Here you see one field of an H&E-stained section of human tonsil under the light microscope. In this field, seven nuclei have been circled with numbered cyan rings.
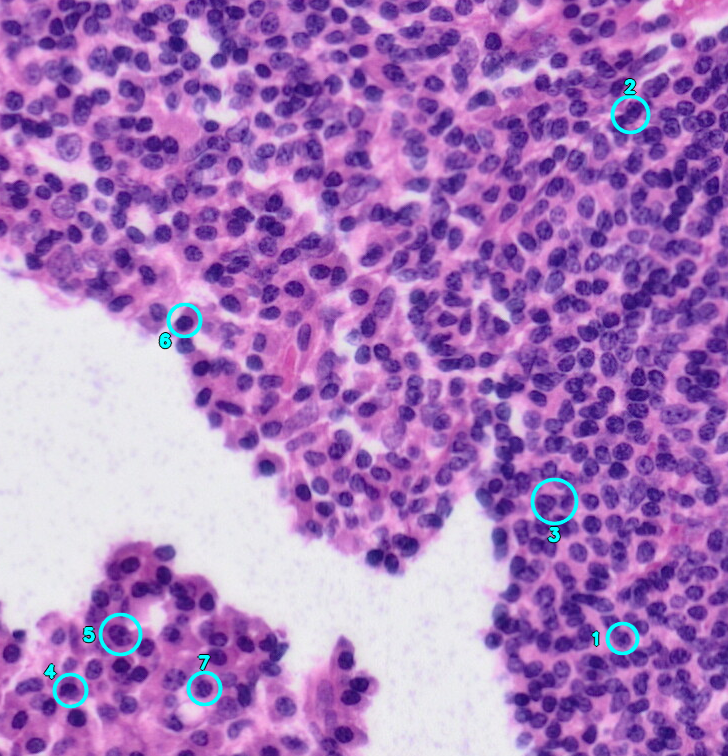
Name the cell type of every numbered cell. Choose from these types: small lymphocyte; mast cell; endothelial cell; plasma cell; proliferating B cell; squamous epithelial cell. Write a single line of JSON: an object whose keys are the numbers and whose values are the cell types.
{"1": "small lymphocyte", "2": "small lymphocyte", "3": "small lymphocyte", "4": "plasma cell", "5": "plasma cell", "6": "plasma cell", "7": "plasma cell"}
